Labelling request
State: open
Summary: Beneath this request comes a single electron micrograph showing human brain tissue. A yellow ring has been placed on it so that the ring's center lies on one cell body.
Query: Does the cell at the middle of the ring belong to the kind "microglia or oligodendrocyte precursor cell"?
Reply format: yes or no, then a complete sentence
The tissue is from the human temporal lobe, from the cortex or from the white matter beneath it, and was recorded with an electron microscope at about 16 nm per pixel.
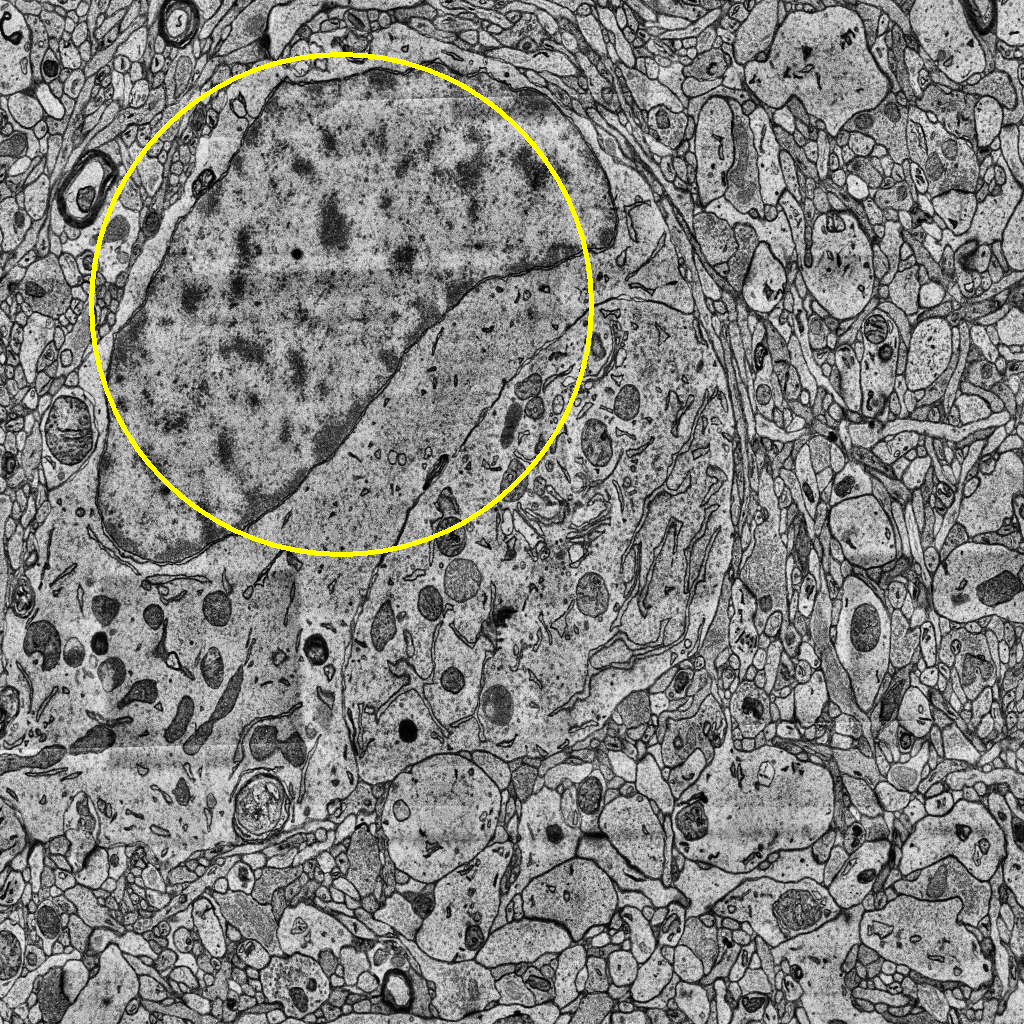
Yes, the cell sitting at the center of the ring in this picture is of that kind.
